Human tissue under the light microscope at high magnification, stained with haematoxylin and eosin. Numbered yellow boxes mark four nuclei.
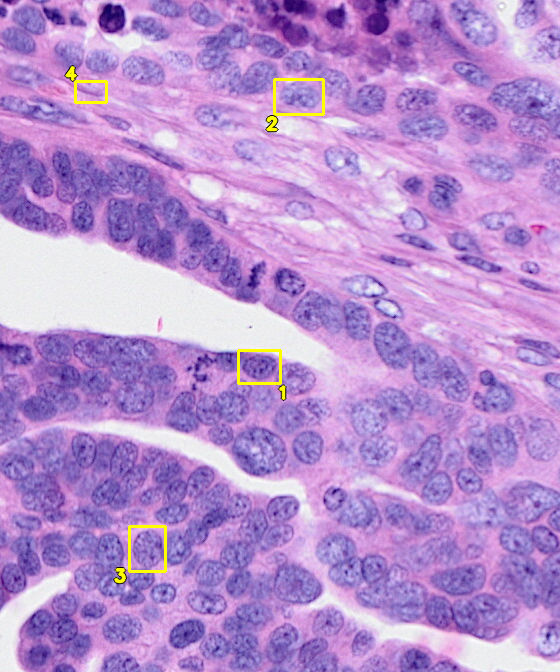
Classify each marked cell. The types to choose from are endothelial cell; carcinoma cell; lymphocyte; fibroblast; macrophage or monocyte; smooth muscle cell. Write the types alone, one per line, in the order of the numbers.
carcinoma cell
carcinoma cell
carcinoma cell
fibroblast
